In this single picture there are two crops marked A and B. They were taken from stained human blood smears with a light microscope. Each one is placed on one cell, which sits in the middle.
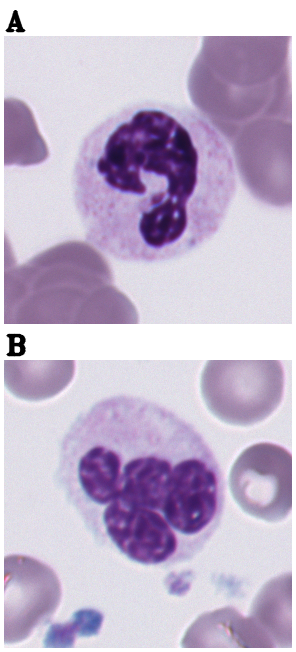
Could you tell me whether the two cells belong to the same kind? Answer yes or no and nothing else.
yes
